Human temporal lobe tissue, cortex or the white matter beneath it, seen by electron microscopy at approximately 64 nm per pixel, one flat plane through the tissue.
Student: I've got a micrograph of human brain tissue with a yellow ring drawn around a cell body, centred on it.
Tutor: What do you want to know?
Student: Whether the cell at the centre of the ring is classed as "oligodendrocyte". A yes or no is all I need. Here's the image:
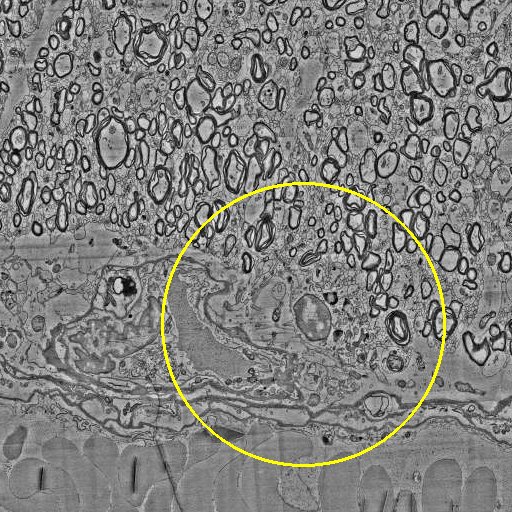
no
